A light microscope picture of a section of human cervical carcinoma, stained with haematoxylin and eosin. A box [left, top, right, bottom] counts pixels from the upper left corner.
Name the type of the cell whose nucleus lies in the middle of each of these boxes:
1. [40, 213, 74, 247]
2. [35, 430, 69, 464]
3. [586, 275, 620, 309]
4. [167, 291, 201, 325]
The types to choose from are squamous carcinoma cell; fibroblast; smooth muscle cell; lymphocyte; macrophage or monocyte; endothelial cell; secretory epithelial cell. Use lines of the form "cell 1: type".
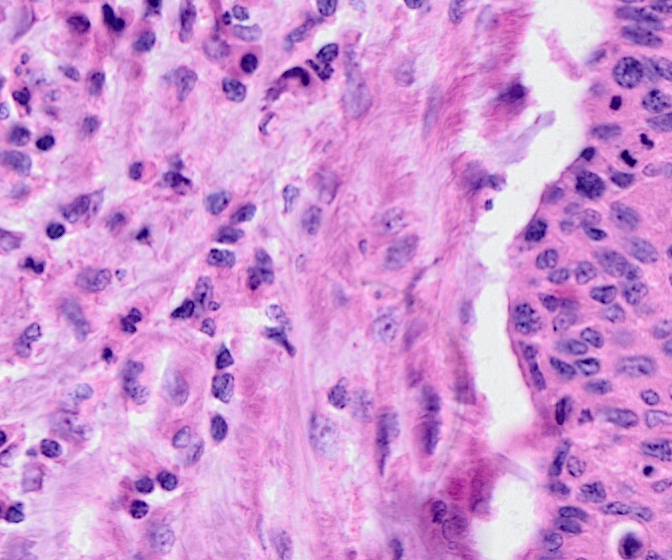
cell 1: lymphocyte
cell 2: lymphocyte
cell 3: squamous carcinoma cell
cell 4: lymphocyte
